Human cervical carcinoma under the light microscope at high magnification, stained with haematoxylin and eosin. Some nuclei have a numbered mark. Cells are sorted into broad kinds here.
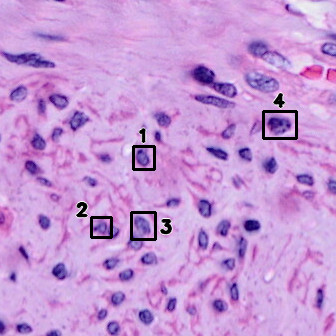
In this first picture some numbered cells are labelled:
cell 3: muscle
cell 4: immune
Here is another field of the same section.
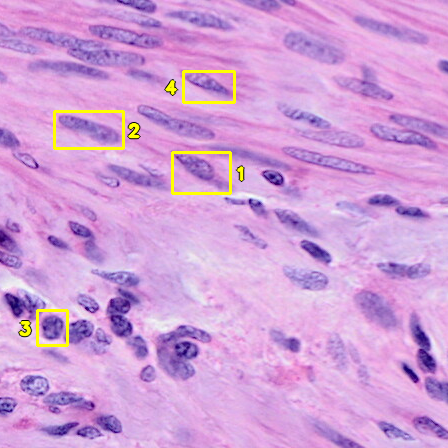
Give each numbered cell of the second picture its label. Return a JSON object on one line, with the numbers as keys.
{"1": "muscle", "2": "muscle", "3": "immune", "4": "muscle"}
